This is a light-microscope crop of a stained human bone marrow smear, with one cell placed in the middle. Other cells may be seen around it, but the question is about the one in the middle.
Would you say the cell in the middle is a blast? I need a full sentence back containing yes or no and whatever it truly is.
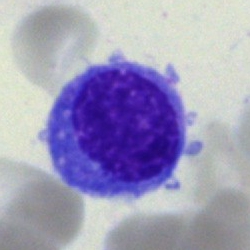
Yes, a blast occupies the middle of the crop.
